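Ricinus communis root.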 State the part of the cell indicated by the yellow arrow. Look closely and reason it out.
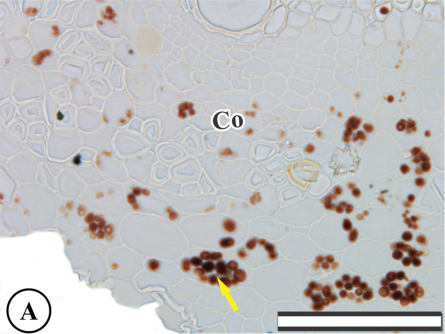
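Starch. Round dark brown grains in clusters within cortical cells. Grains are most abundant toward the bottom of the section.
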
